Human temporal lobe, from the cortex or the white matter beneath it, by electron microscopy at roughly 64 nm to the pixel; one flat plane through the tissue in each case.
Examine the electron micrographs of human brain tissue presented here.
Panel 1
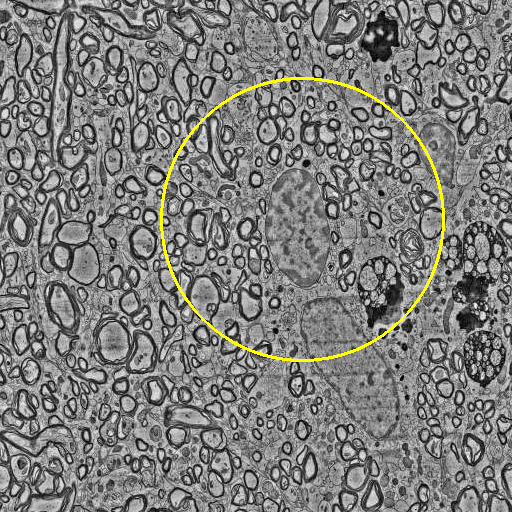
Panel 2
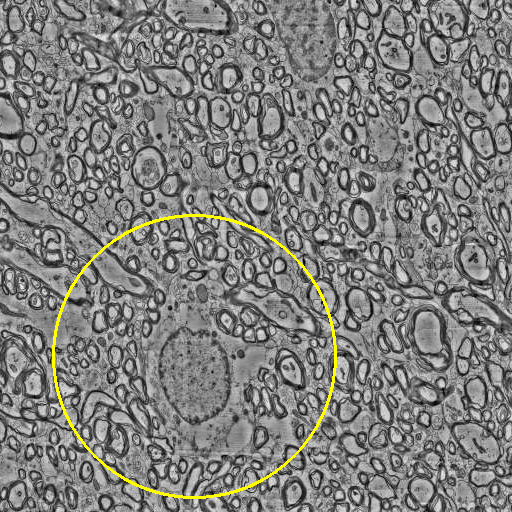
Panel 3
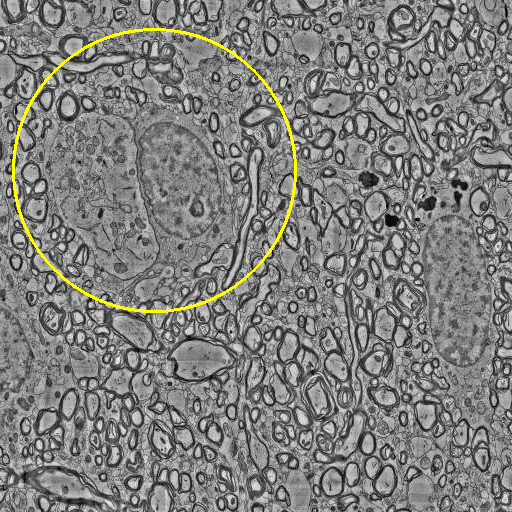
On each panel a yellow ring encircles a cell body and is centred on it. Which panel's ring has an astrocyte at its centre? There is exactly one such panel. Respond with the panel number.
2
